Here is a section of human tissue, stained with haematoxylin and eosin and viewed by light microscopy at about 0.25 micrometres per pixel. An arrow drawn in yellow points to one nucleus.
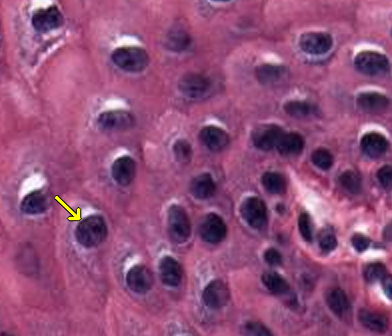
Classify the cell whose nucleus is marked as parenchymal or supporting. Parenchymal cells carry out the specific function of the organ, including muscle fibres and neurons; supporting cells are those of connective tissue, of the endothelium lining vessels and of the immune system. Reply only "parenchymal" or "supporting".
parenchymal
